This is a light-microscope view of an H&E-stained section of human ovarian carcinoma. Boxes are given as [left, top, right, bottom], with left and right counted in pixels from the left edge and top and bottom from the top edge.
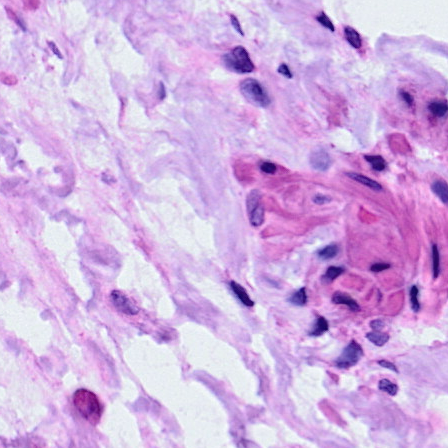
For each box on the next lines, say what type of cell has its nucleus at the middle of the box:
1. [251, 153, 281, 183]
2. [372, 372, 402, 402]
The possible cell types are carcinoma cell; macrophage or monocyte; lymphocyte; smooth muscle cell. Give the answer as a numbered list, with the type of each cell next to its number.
1. smooth muscle cell
2. lymphocyte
